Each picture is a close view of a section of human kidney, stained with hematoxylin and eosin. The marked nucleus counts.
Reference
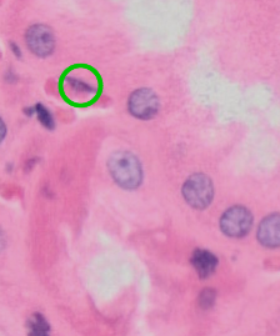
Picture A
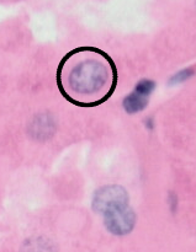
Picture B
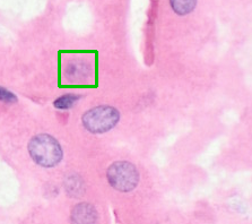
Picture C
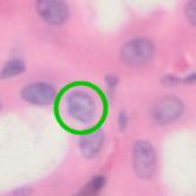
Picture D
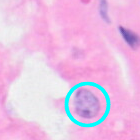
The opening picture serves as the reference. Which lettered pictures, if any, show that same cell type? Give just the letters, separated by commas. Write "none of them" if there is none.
none of them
